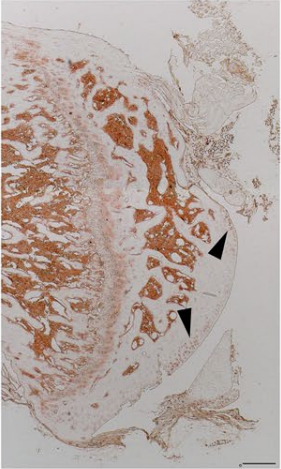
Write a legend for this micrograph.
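This is a low-magnification section through the end of a long bone at a joint, capped by articular cartilage. A pale, smooth cartilage layer with small scattered chondrocytes forms the curved surface on the right. Beneath it lies a network of bony trabeculae enclosing spaces filled with intensely orange-red stained material. Further left, a band of columnar cells resembles a growth plate, with more stained spaces beyond. Loose fibrous tissue fragments lie outside the joint surface.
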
